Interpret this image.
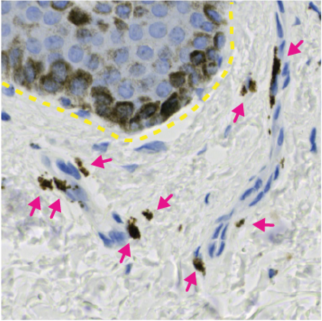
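The stained cells are irregular to elongated and lie singly or in small clusters, some along strands of elongated blue nuclei. The basal layer of the overlying epithelium, bordered by a yellow dashed line, also shows brown staining at the top left.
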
